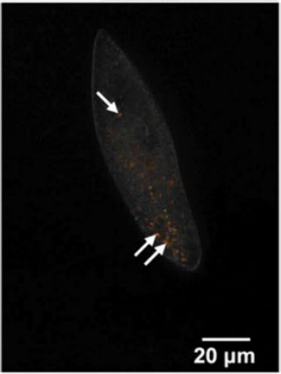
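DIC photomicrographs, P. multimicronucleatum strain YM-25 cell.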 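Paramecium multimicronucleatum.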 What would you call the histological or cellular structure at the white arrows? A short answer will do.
Crystals.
